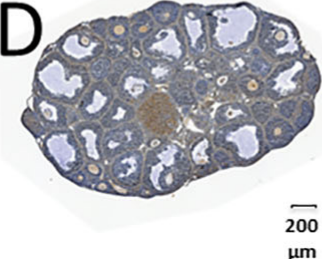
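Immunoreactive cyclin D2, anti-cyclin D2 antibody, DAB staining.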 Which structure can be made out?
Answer: growing follicles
